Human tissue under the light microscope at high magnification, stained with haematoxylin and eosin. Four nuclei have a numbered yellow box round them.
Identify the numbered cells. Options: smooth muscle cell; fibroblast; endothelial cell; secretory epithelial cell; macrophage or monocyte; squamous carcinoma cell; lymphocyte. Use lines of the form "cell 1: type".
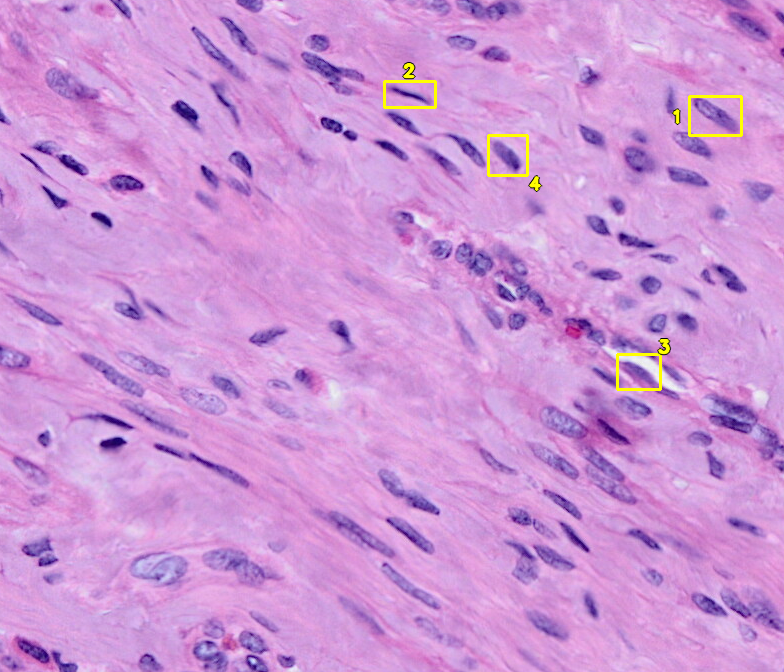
cell 1: fibroblast
cell 2: fibroblast
cell 3: endothelial cell
cell 4: fibroblast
